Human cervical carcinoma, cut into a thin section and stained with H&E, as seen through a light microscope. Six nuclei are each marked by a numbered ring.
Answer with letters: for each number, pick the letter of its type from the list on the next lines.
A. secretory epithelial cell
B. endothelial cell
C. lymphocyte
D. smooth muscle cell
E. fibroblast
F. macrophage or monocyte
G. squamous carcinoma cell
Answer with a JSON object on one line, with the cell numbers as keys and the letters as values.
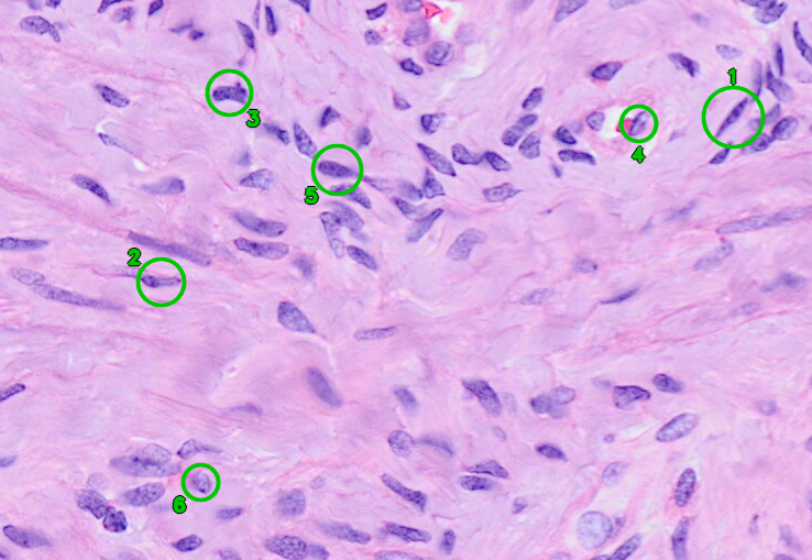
{"1": "E", "2": "D", "3": "E", "4": "B", "5": "E", "6": "E"}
